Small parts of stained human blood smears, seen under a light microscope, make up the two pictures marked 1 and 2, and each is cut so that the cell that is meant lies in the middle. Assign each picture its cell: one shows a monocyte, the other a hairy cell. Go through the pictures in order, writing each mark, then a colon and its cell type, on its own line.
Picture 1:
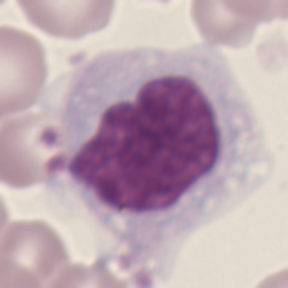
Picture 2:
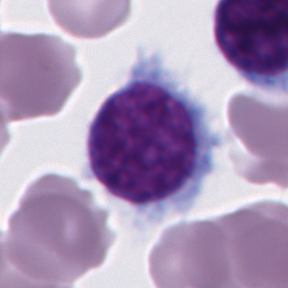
1: monocyte
2: hairy cell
